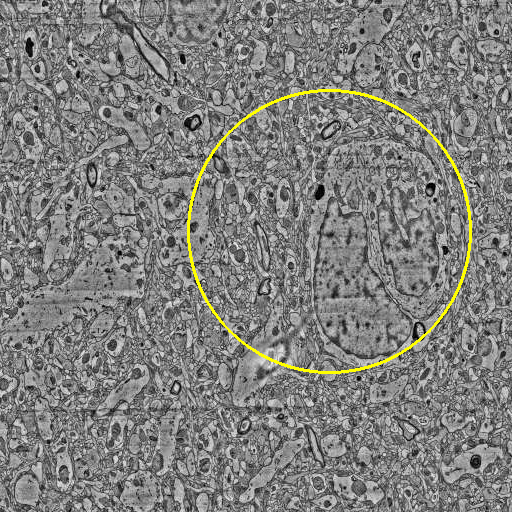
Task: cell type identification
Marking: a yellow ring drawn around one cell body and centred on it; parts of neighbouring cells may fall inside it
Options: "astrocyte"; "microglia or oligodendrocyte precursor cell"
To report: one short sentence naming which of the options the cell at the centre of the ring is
The cell at the centre of the ring is a microglial cell or oligodendrocyte precursor cell.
